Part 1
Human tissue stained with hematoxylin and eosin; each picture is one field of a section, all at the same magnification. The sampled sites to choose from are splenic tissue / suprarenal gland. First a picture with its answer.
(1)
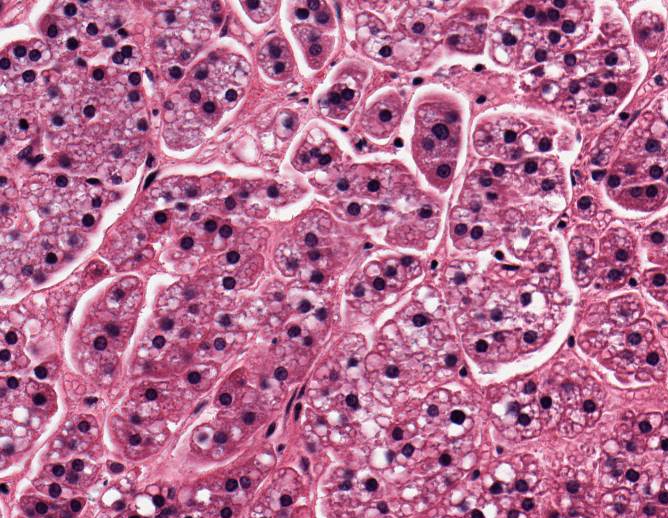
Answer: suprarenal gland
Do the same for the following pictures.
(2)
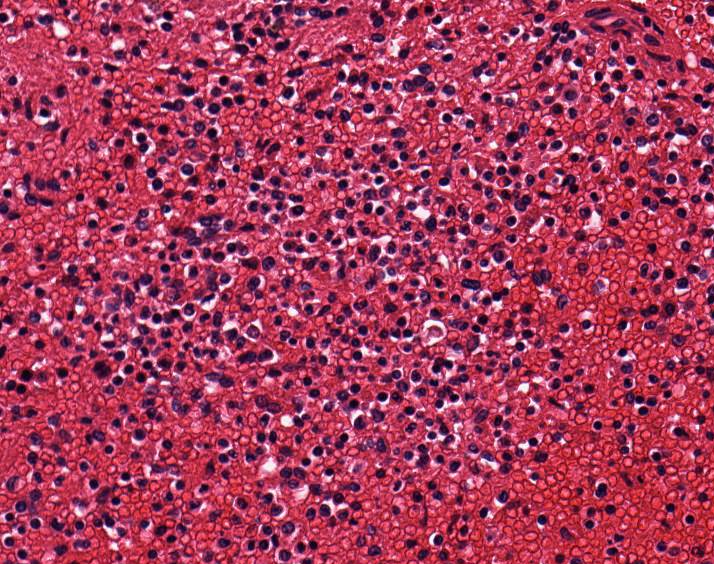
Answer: splenic tissue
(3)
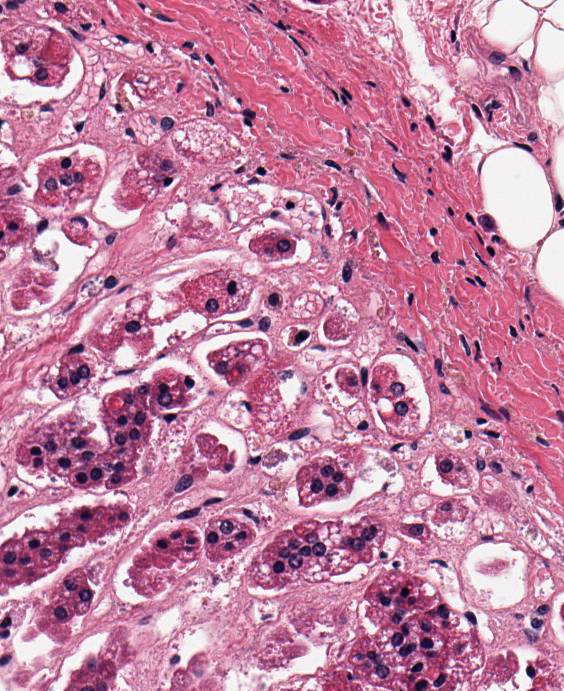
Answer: suprarenal gland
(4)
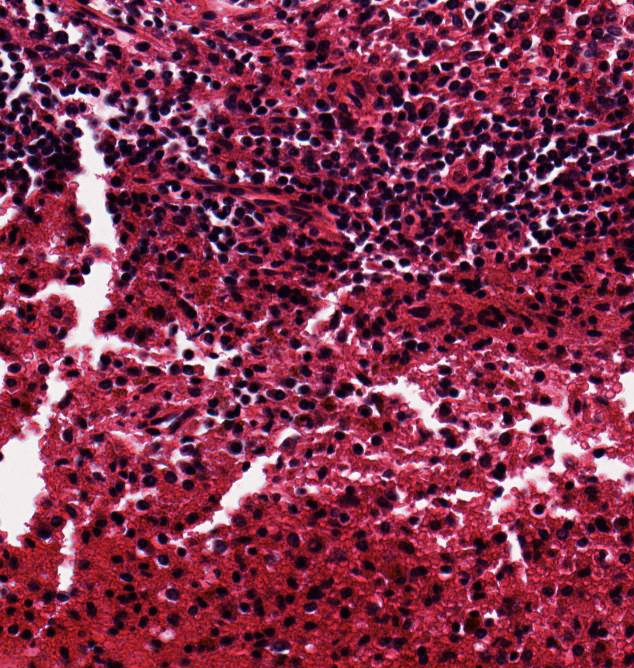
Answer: splenic tissue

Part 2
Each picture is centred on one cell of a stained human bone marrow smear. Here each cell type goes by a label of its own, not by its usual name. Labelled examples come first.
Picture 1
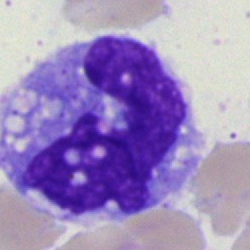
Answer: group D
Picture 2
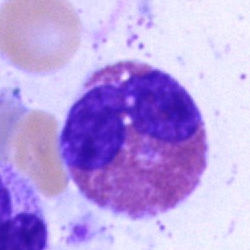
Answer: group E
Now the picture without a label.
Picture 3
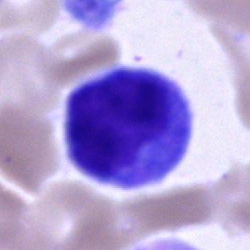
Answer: group D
